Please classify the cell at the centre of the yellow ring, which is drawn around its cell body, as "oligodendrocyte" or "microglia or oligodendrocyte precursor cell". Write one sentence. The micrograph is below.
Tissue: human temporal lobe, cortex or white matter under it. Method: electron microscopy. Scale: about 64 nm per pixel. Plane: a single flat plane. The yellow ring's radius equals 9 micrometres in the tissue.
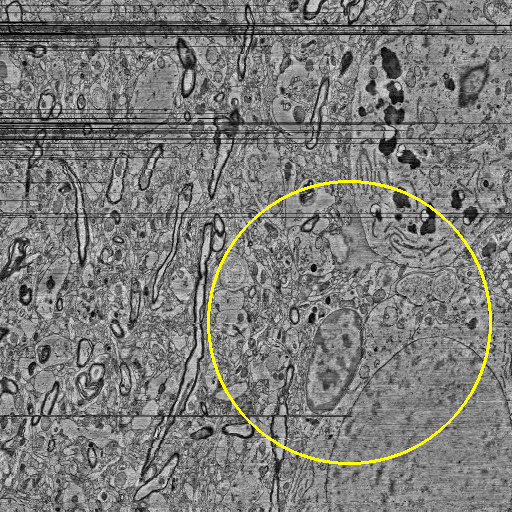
The cell at the ring's centre is classified as a microglial cell or oligodendrocyte precursor cell.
